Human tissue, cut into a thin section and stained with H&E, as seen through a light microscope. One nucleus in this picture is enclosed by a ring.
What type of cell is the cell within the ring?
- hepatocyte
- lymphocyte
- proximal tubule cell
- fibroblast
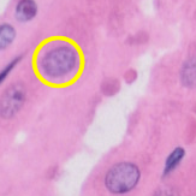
proximal tubule cell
